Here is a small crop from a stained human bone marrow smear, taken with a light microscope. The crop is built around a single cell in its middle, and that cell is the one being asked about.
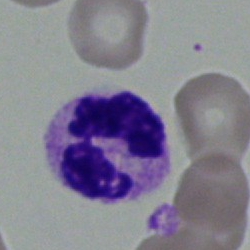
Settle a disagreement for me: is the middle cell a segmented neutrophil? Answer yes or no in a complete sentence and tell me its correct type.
Yes, the centred cell is categorised as a segmented neutrophil.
